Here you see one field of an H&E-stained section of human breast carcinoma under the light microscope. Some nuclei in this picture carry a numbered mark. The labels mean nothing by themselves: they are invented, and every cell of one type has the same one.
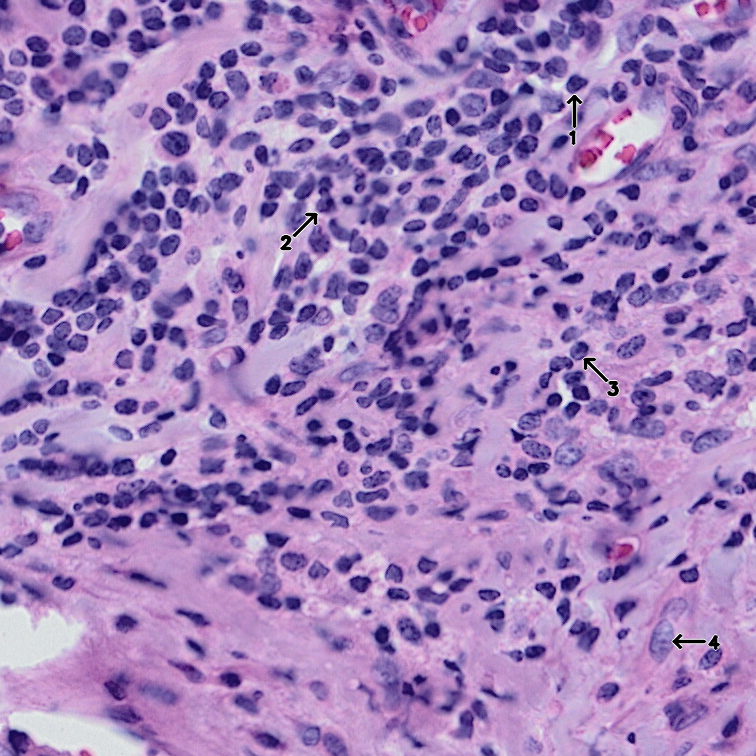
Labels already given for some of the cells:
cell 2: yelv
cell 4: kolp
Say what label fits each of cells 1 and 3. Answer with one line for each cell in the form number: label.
1: yelv
3: yelv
